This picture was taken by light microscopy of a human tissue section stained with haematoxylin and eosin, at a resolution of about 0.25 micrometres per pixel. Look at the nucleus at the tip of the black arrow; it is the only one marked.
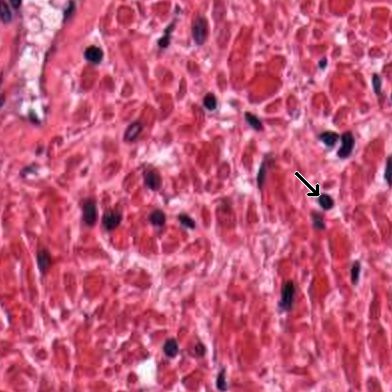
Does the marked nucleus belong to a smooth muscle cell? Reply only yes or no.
no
